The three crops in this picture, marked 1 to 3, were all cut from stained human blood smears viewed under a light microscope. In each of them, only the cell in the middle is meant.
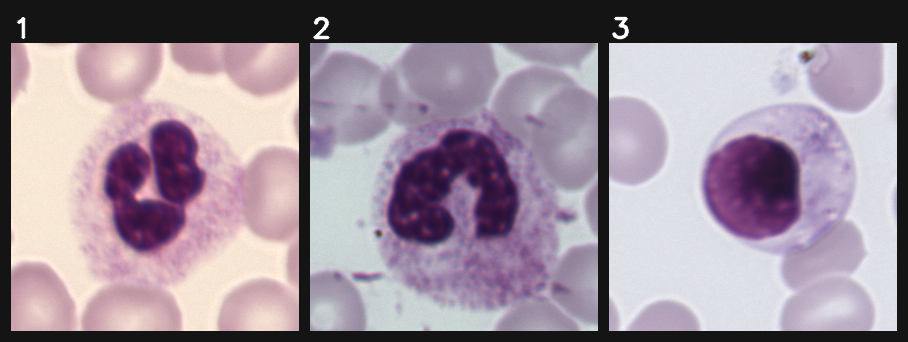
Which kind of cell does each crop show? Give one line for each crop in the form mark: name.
1: segmented neutrophil
2: segmented neutrophil
3: large granular lymphocyte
